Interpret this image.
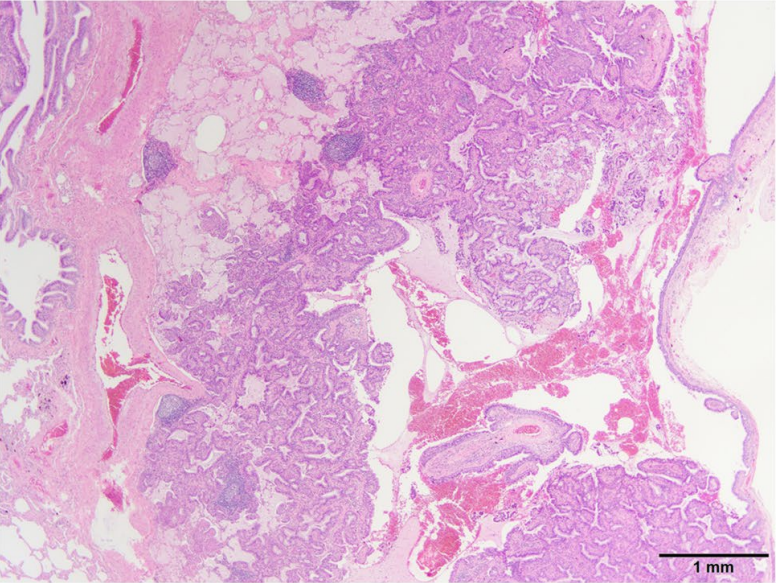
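At low power, a purple glandular tumor fills much of the field, forming crowded tubules, papillary fronds and open cystic spaces. Pale, lace-like tissue with thin-walled airspaces and scattered dark lymphoid aggregates lies beside it, and blood vessels and red-filled spaces run along its edges.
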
